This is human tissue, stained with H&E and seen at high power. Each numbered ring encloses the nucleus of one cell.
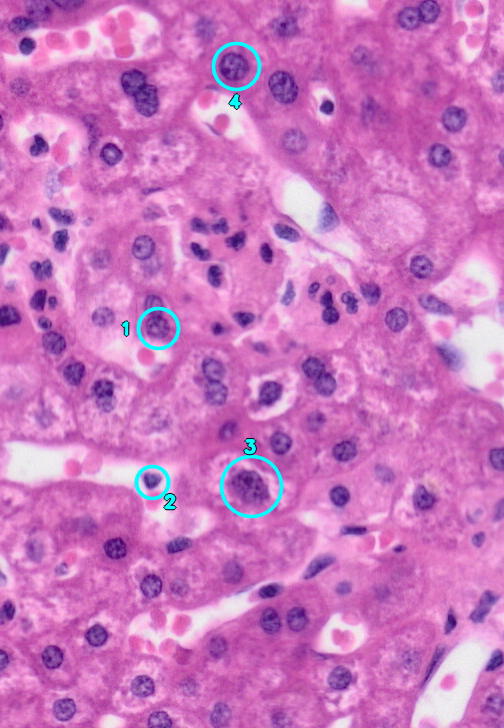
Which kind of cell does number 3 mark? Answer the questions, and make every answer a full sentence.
Of the numbered cells, the one labelled 3 is a hepatocyte.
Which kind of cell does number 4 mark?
Cell 4 should be recorded as a hepatocyte.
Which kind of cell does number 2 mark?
Classified as a lymphocyte is the cell with the number 2.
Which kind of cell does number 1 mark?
Identified as a hepatocyte is the cell bearing the number 1.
